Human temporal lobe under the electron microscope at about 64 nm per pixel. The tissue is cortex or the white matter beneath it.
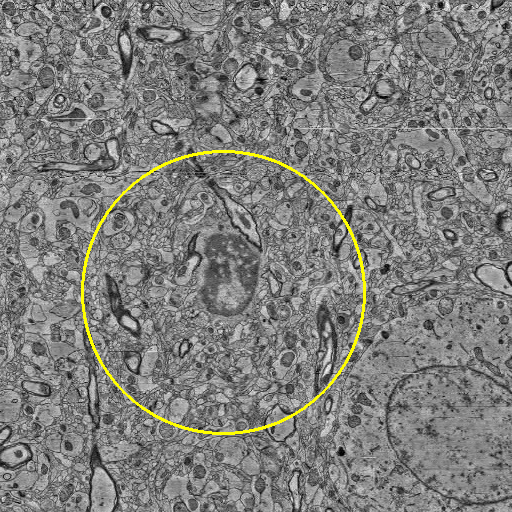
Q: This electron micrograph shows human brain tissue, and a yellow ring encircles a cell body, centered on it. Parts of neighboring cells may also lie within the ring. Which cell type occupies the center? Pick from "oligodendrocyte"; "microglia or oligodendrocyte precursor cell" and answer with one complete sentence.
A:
What sits at the ring's center in this micrograph is an oligodendrocyte, among those choices.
